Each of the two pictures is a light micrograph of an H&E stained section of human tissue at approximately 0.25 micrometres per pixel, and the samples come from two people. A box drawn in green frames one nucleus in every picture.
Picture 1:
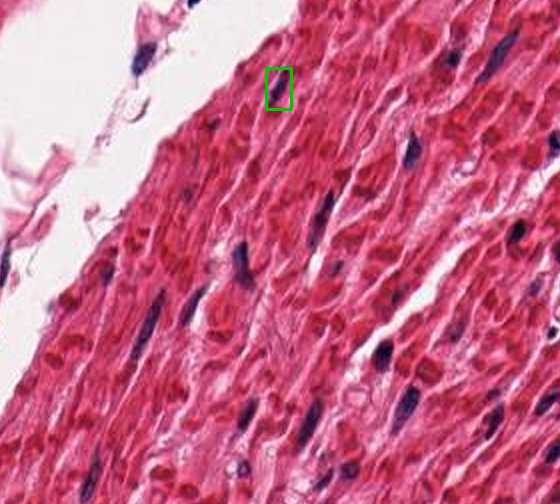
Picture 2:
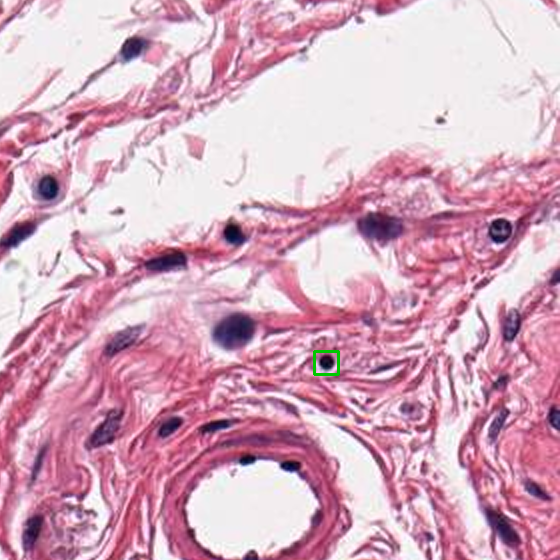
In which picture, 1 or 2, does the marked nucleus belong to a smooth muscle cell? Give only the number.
1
